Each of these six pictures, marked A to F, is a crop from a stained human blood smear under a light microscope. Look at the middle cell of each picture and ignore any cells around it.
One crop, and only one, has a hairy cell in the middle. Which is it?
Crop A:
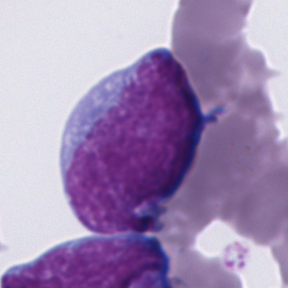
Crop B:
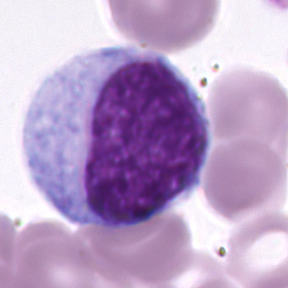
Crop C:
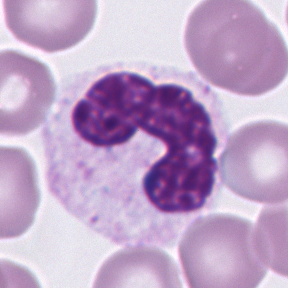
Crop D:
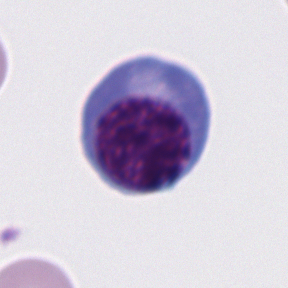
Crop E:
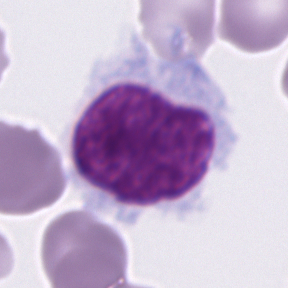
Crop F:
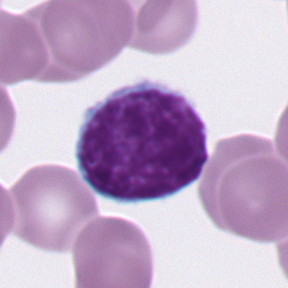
E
